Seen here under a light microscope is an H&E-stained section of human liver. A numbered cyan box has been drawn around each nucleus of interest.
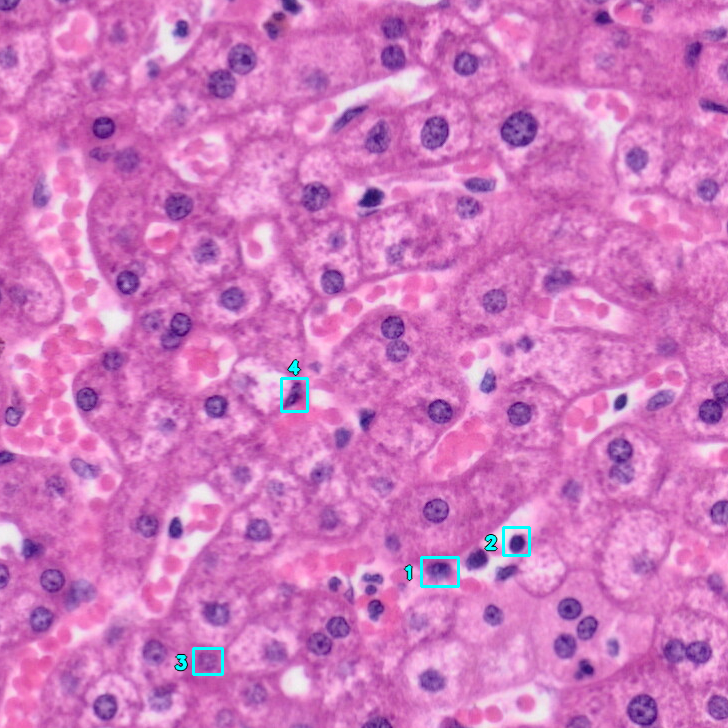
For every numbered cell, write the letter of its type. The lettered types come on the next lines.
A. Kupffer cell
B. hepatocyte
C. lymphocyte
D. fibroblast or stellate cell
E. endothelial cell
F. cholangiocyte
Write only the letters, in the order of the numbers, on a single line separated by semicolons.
D; C; B; E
